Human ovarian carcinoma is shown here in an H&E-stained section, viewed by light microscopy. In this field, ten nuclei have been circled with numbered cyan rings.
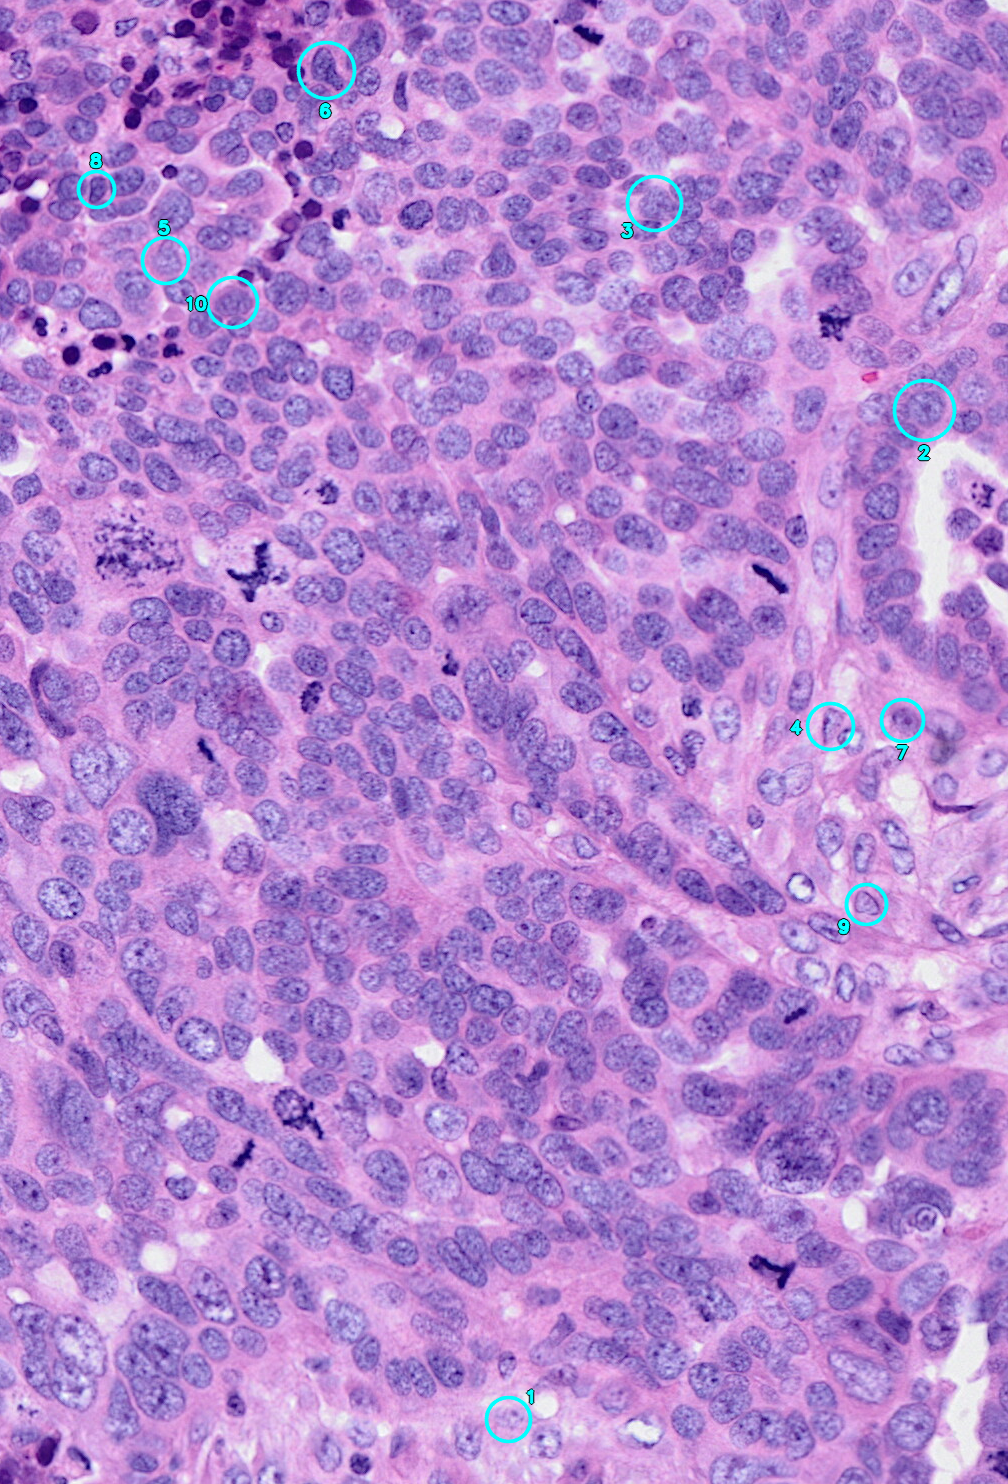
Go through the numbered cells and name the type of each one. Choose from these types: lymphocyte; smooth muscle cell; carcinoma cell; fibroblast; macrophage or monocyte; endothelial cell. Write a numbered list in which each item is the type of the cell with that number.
1. fibroblast
2. carcinoma cell
3. carcinoma cell
4. fibroblast
5. carcinoma cell
6. carcinoma cell
7. fibroblast
8. carcinoma cell
9. fibroblast
10. carcinoma cell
